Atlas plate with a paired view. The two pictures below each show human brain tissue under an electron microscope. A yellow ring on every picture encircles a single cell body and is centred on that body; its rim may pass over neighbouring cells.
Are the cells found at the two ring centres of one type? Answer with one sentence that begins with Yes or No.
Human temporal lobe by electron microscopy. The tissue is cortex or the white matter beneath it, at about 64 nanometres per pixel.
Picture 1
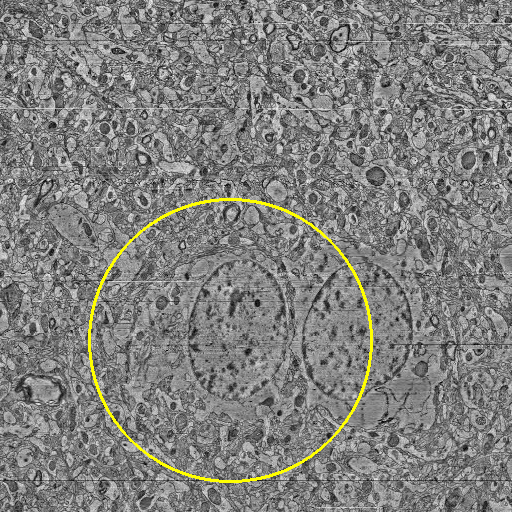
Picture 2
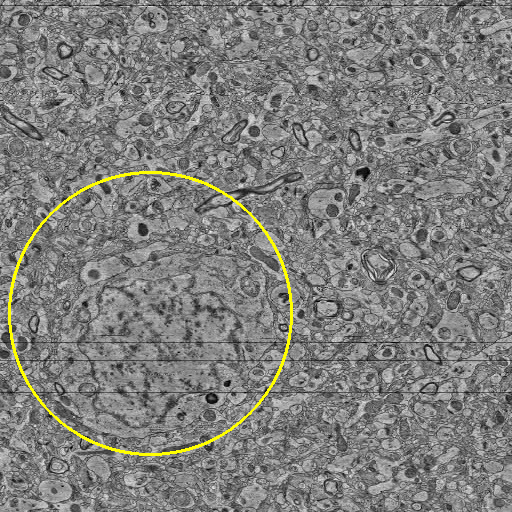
No, the two cells lying at the centres of the rings are of two types.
